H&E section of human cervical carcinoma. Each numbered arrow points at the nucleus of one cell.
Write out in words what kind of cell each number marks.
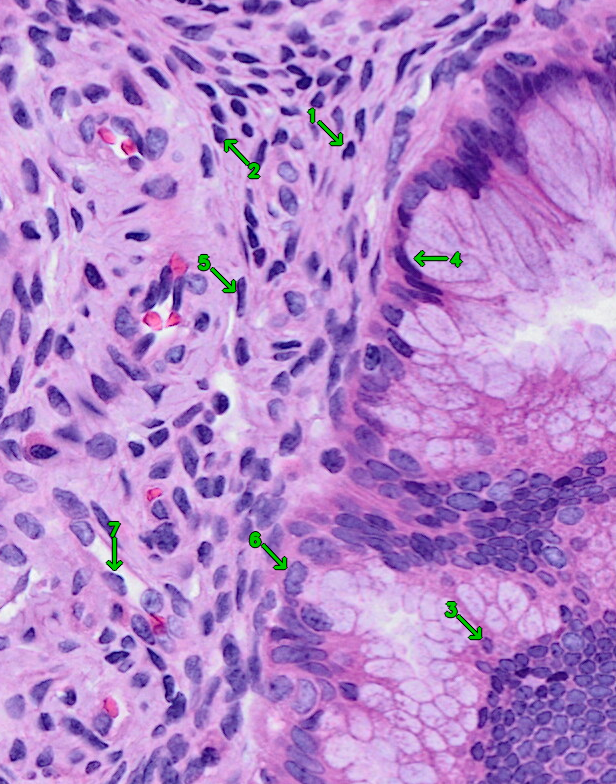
Cell 1 is a fibroblast, cell 2 is a fibroblast, cell 3 is a secretory epithelial cell, cell 4 is a secretory epithelial cell, cell 5 is a fibroblast, cell 6 is a secretory epithelial cell and cell 7 is an endothelial cell.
